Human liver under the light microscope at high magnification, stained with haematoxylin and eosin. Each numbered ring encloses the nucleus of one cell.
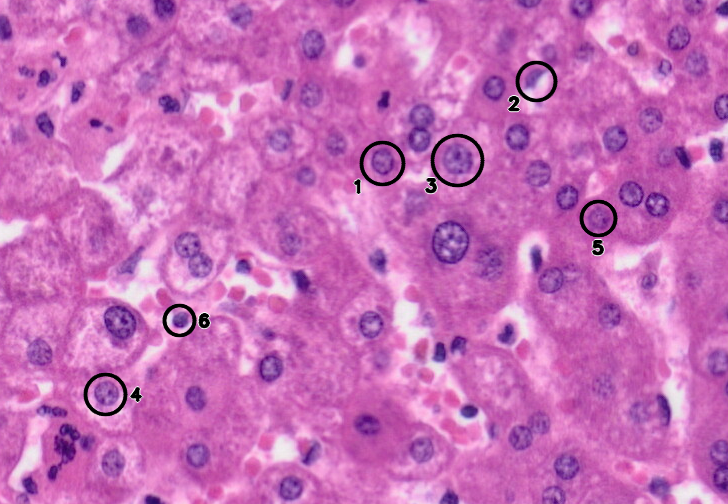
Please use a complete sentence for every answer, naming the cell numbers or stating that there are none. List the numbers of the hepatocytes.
The numbers 1, 3, 4 and 5 mark cells that are hepatocytes.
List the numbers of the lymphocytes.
Cell 6 is a lymphocyte, and it is the only numbered cell that is.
